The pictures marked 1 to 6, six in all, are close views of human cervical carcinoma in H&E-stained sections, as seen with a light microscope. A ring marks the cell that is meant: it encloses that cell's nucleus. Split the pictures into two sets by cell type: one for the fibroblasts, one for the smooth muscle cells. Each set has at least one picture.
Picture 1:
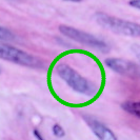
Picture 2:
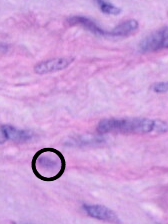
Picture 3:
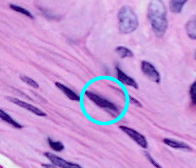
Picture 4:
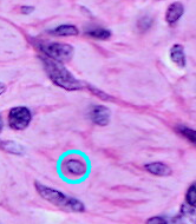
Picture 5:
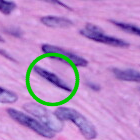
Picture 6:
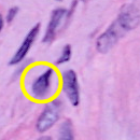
1: smooth muscle cell
2: smooth muscle cell
3: fibroblast
4: smooth muscle cell
5: fibroblast
6: fibroblast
